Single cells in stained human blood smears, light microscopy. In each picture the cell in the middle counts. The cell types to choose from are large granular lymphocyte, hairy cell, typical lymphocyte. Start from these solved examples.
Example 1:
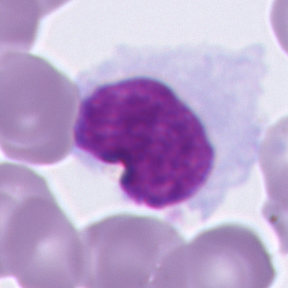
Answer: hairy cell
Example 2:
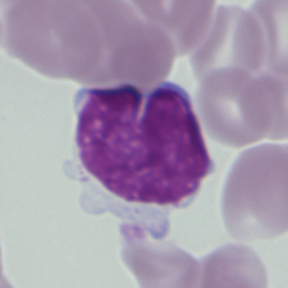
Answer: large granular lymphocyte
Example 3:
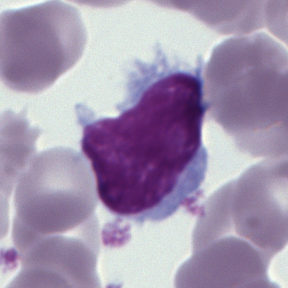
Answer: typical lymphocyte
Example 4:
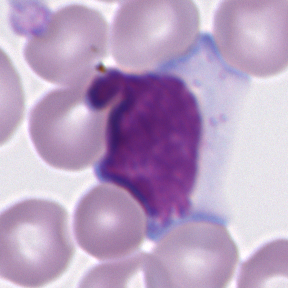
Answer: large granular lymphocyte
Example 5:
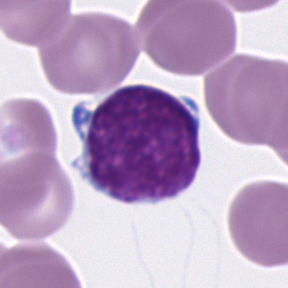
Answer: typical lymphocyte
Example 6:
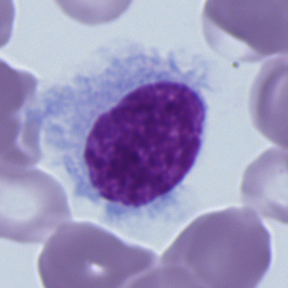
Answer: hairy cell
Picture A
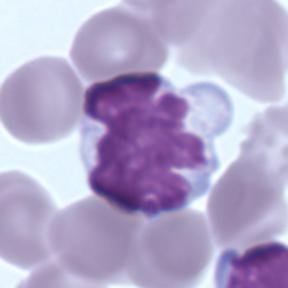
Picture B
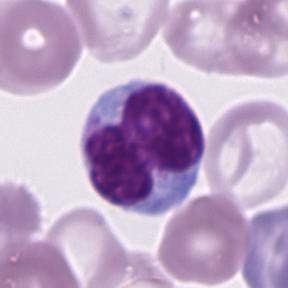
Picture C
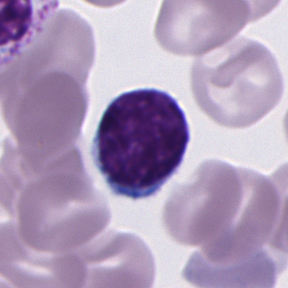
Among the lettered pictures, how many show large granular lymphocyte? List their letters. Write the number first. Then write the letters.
Count: 1 (A)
